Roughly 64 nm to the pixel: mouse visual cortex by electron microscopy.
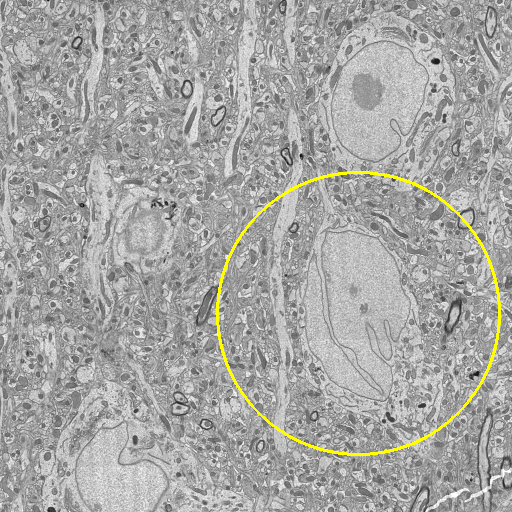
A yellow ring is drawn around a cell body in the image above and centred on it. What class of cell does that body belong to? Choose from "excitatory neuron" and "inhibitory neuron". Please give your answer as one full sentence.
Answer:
The yellow ring above is centred on the cell body of an inhibitory neuron.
